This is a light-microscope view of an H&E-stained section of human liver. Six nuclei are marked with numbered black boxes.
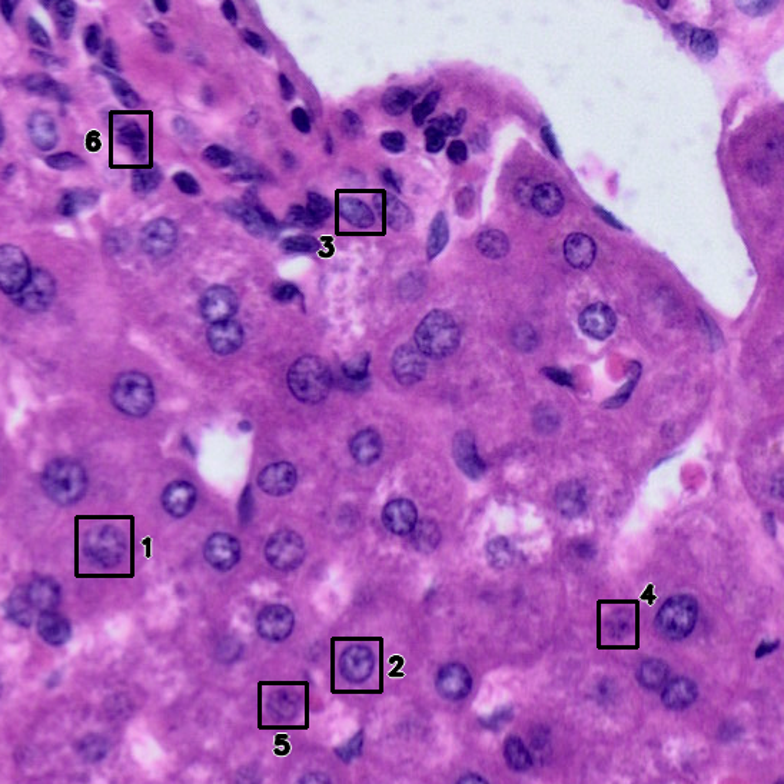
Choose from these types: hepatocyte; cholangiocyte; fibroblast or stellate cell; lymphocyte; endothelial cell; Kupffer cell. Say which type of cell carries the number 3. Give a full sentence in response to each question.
The cell assigned the number 3 is a cholangiocyte.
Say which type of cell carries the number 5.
The cell assigned the number 5 is a hepatocyte.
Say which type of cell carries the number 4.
Belonging to a hepatocyte is the nucleus that carries the number 4.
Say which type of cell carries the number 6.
Numbered cell 6 is a fibroblast or stellate cell in this tissue section.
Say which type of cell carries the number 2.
The cell pointed out by number 2 is a hepatocyte.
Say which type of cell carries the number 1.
Number 1 is placed on a hepatocyte here.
